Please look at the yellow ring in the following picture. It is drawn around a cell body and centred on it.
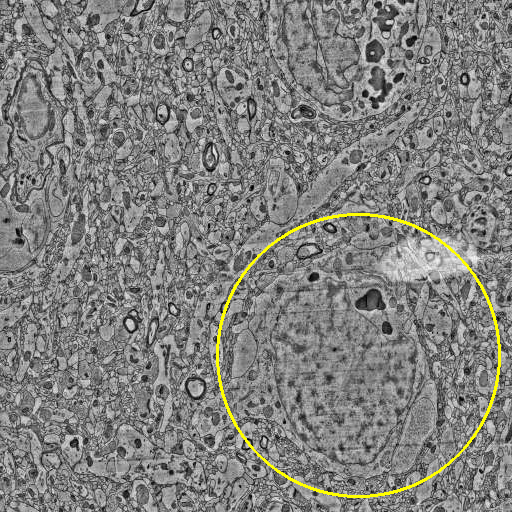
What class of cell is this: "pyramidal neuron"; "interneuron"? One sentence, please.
The ring surrounds the cell body of an interneuron.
